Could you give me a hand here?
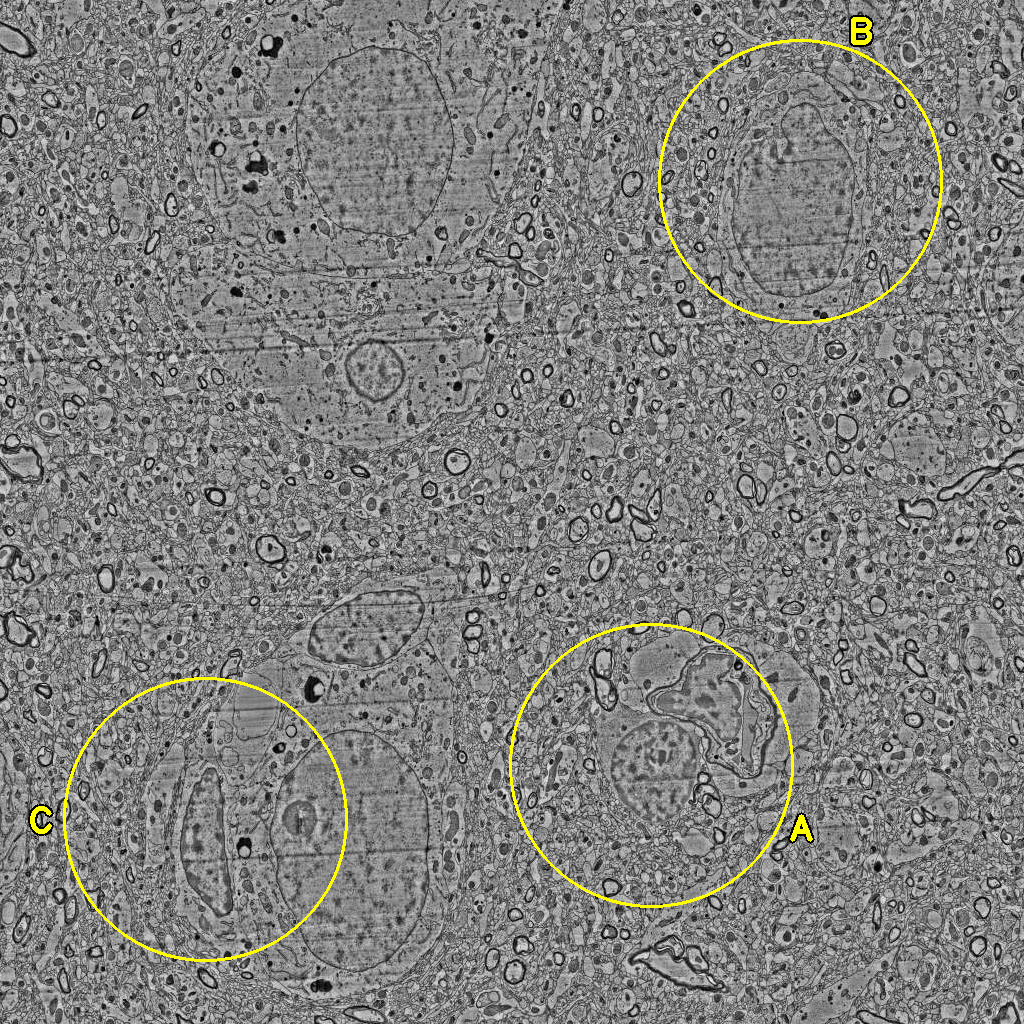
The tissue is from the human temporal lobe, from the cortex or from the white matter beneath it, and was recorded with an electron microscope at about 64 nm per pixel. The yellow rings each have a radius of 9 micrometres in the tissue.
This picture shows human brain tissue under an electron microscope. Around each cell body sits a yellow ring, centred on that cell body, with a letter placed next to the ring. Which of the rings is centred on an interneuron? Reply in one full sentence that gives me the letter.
The cell asked for sits at the centre of ring B in the picture.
